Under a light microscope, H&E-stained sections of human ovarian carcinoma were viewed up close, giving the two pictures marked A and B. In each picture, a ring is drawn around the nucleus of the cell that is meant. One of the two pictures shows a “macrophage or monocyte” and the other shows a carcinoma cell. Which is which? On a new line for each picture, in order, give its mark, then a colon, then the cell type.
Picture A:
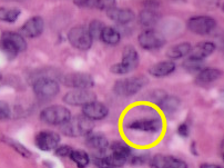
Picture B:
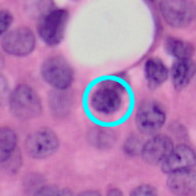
A: carcinoma cell
B: macrophage or monocyte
